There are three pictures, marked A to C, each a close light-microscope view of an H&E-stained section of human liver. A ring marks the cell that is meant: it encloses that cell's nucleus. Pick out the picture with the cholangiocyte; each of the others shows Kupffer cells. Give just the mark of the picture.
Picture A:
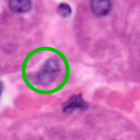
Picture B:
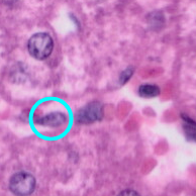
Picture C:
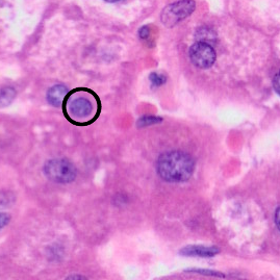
C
